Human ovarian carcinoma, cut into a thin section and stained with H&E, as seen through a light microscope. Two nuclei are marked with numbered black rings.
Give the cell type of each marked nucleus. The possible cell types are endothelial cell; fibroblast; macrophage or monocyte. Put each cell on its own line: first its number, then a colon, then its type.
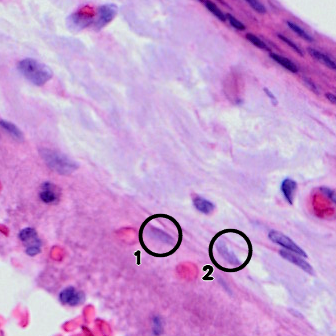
1: endothelial cell
2: fibroblast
